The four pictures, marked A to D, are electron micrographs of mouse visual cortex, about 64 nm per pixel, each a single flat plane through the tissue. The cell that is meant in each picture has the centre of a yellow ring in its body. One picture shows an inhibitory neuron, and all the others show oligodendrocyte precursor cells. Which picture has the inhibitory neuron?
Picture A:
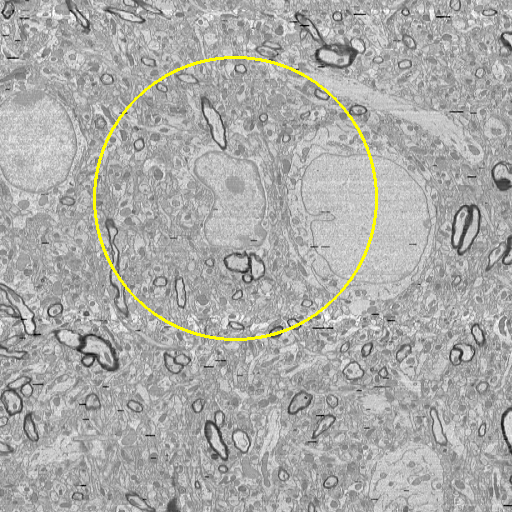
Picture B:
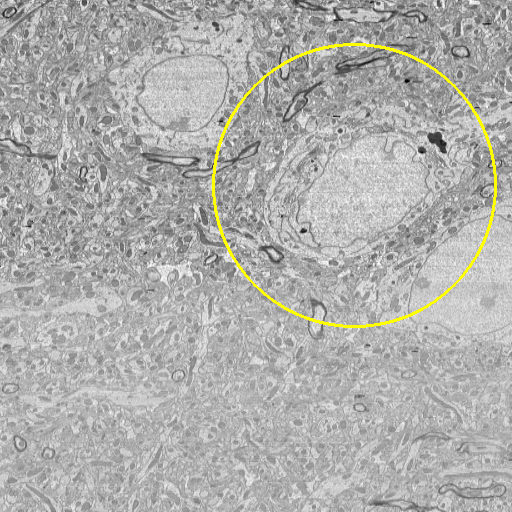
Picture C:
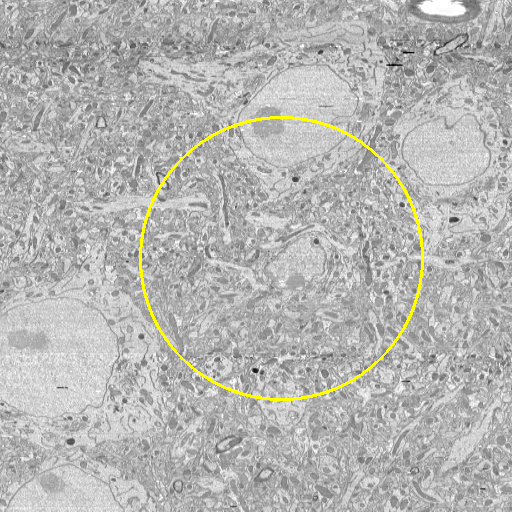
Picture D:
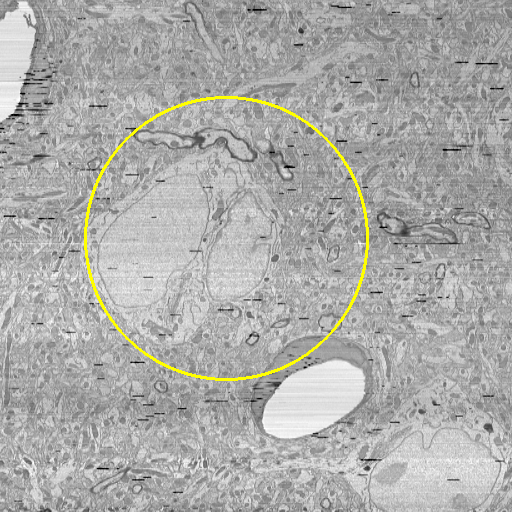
Picture B is the one that shows the inhibitory neuron.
